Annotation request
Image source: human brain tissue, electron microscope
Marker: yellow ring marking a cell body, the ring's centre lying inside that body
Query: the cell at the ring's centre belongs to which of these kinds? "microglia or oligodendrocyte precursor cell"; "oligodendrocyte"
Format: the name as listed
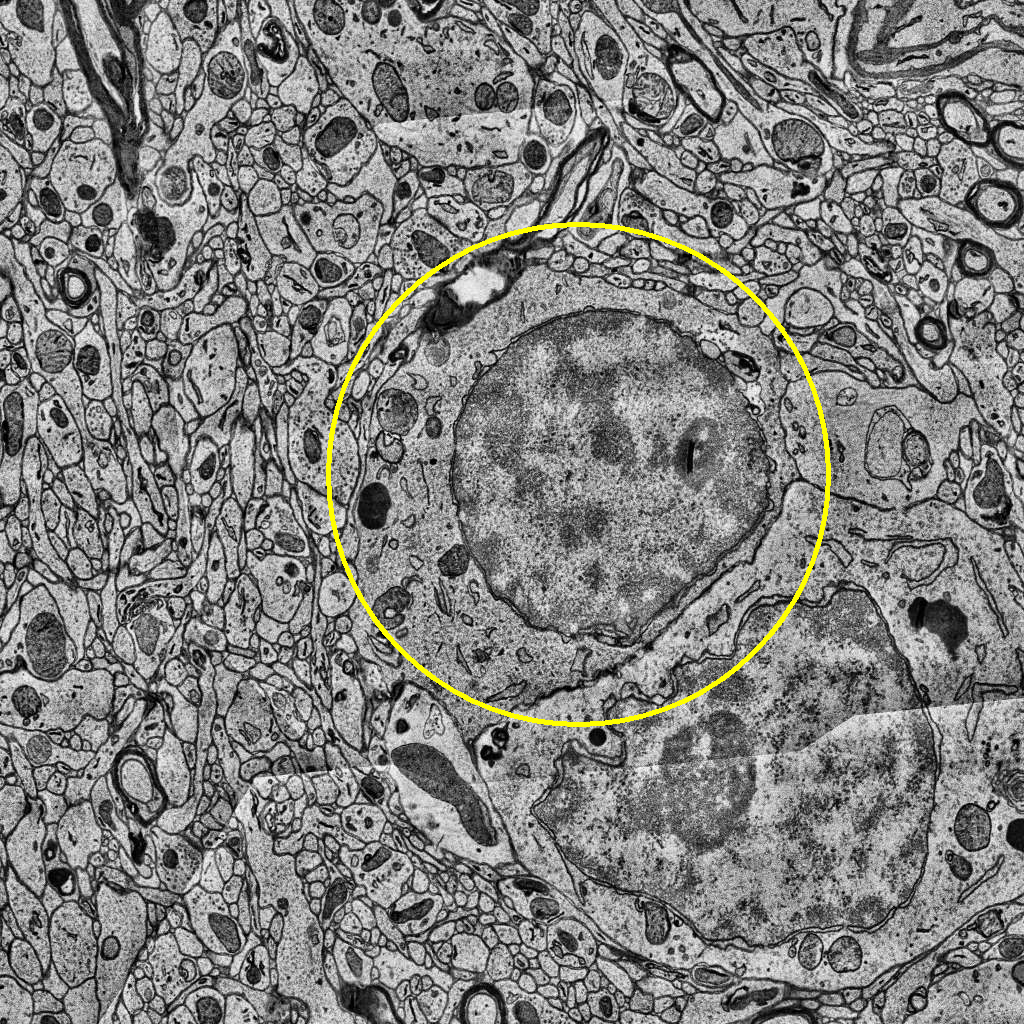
oligodendrocyte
